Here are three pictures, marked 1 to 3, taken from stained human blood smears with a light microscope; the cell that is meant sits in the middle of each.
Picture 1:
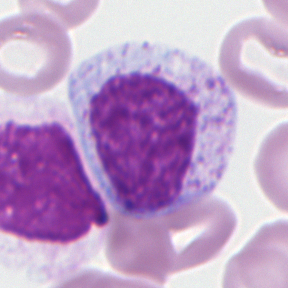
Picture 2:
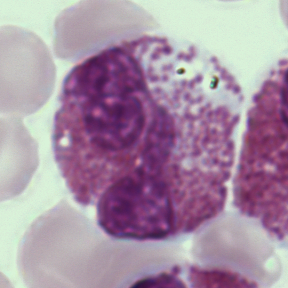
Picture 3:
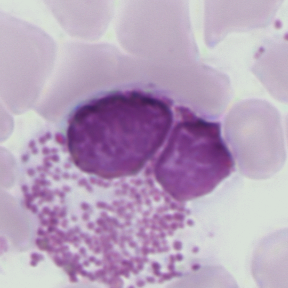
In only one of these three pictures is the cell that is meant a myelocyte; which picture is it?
1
